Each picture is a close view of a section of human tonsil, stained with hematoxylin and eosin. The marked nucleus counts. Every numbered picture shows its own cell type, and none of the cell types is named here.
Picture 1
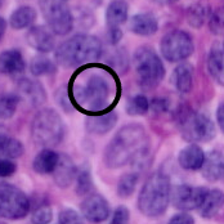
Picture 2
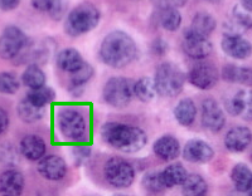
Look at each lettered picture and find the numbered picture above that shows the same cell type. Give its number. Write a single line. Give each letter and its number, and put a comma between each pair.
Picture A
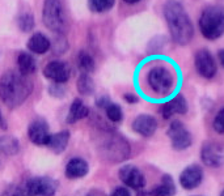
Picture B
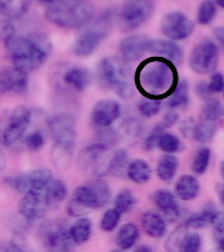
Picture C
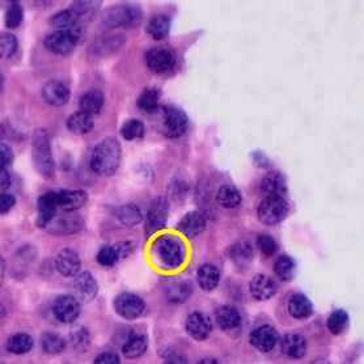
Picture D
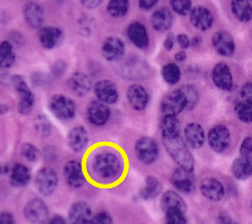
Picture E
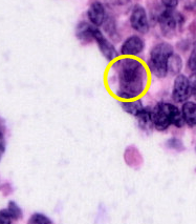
A 2, B 1, C 2, D 2, E 1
